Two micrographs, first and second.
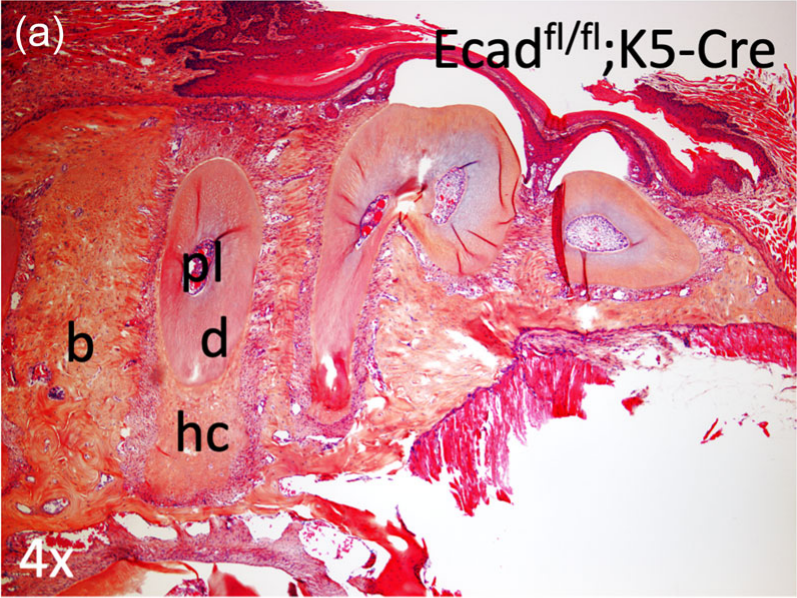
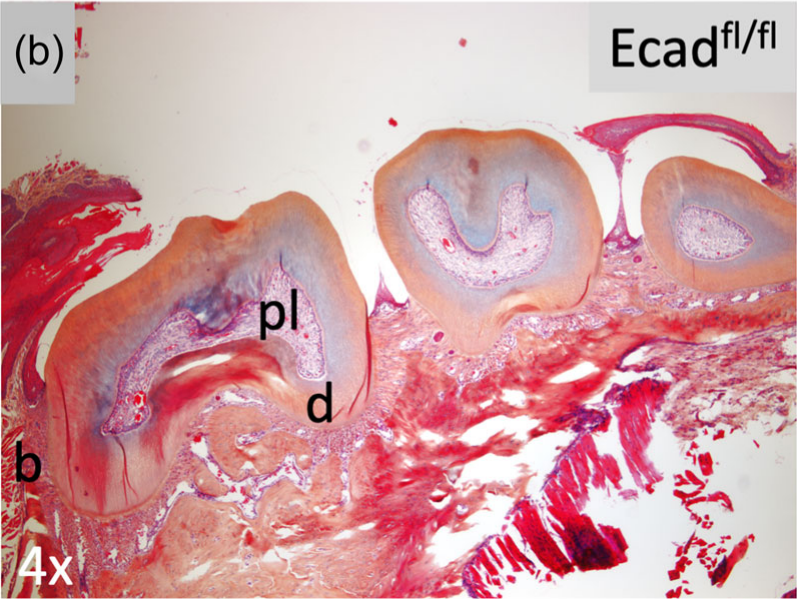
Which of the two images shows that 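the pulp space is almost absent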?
the first image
